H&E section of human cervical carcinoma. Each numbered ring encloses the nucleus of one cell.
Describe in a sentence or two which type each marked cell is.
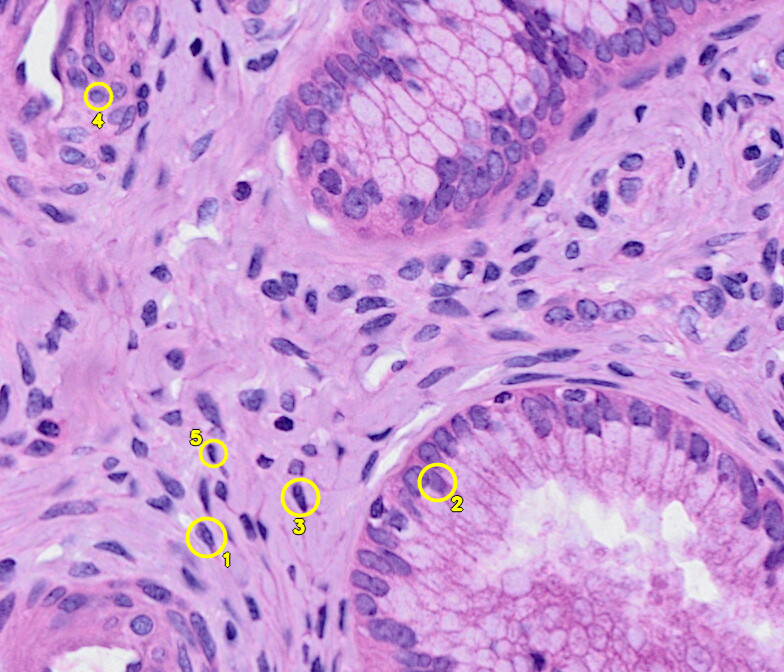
Cell 1 is a fibroblast, cell 2 is a secretory epithelial cell, cell 3 is a fibroblast, cell 4 is a smooth muscle cell and cell 5 is a fibroblast.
